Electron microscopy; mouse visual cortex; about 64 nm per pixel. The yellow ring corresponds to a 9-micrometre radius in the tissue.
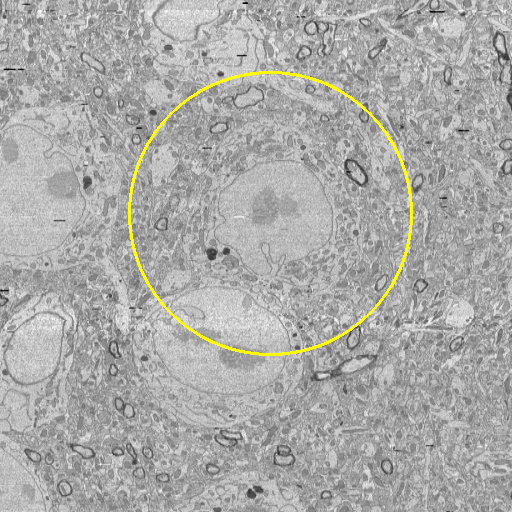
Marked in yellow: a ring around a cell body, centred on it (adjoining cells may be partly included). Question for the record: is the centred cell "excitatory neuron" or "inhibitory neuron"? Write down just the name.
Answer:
inhibitory neuron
